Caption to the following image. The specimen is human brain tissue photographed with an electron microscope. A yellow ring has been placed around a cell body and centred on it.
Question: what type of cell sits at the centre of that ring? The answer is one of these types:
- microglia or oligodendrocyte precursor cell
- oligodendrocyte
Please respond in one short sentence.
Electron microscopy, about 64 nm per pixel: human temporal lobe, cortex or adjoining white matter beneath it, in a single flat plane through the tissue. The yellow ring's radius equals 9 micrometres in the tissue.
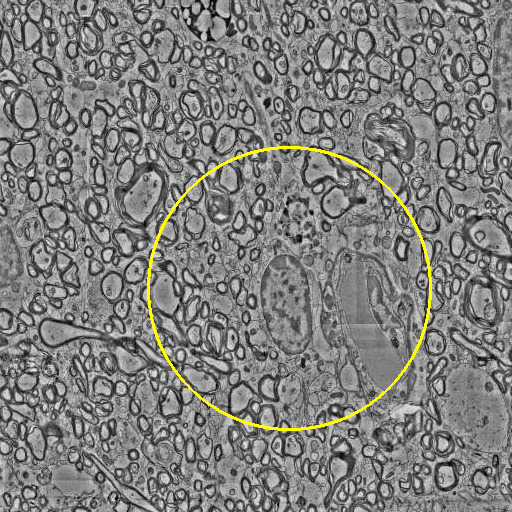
The ring surrounds the cell body of a microglial cell or oligodendrocyte precursor cell.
